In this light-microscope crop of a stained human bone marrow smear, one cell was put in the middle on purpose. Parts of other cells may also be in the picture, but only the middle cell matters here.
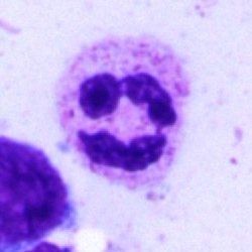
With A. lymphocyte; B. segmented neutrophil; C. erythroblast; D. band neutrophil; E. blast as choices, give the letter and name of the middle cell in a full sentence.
That the central cell is a segmented neutrophil makes option B correct.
